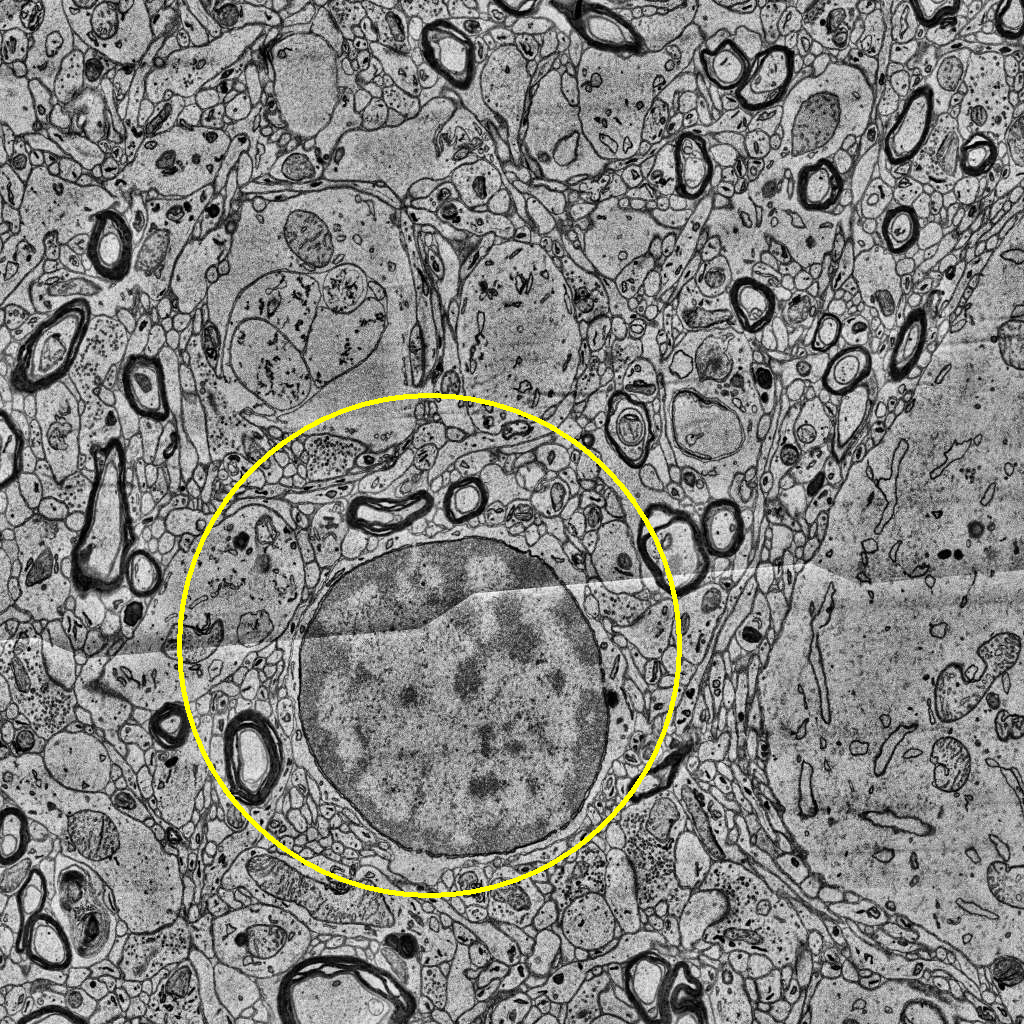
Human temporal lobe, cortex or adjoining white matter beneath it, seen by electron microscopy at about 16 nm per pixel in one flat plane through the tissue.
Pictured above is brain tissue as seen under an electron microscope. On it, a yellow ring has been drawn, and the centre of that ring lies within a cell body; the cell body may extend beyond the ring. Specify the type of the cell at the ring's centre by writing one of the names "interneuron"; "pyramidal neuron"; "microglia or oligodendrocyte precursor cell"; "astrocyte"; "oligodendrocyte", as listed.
microglia or oligodendrocyte precursor cell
